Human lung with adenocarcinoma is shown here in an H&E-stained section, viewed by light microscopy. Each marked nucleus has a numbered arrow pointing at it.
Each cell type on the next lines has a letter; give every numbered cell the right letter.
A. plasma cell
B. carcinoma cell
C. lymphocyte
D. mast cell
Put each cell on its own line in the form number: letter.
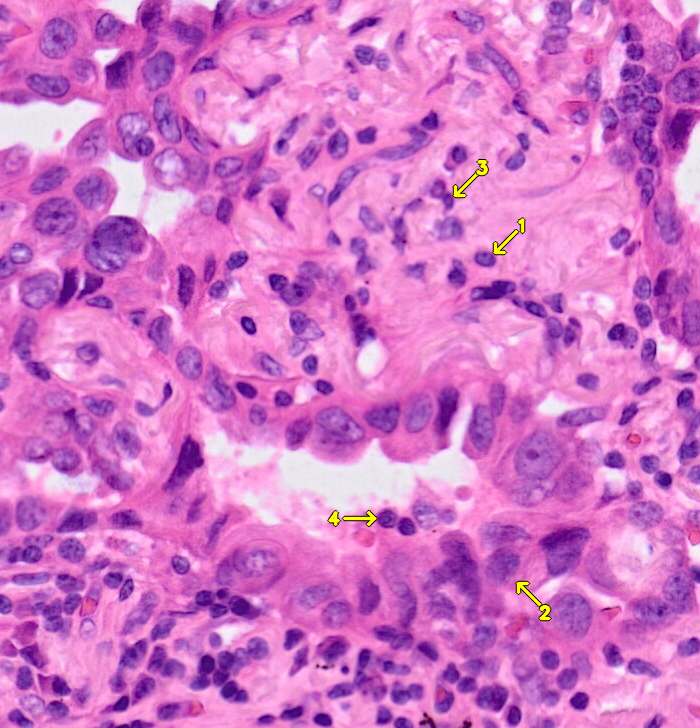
1: D
2: B
3: A
4: C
